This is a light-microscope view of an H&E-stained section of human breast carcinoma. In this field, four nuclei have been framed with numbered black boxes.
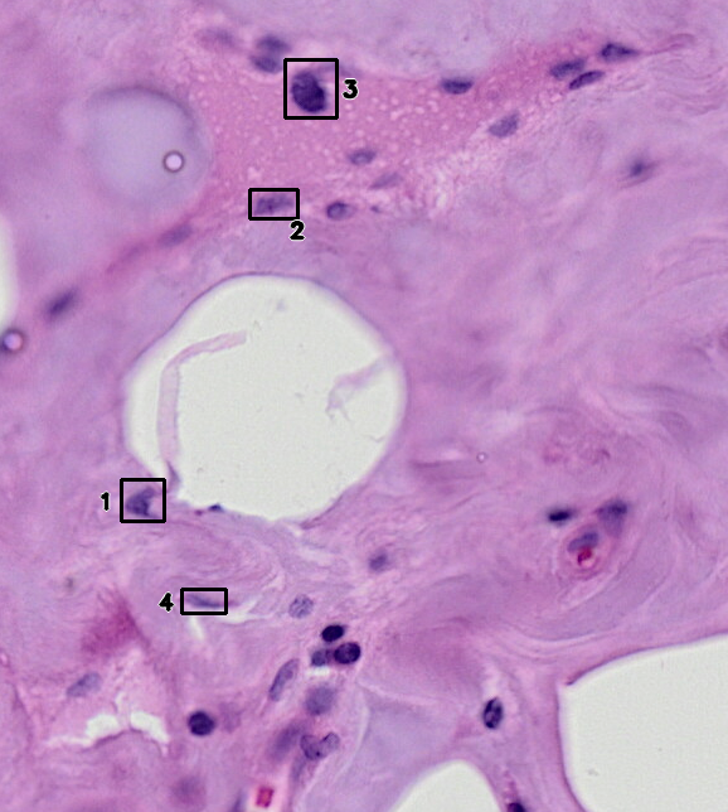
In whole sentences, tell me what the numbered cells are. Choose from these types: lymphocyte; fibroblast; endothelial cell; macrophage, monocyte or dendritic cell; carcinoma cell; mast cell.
Cell 1 is a fibroblast, cell 2 is a fibroblast, cell 3 is a carcinoma cell and cell 4 is a fibroblast.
